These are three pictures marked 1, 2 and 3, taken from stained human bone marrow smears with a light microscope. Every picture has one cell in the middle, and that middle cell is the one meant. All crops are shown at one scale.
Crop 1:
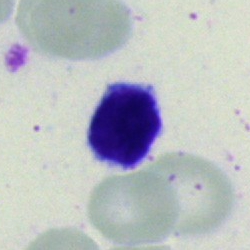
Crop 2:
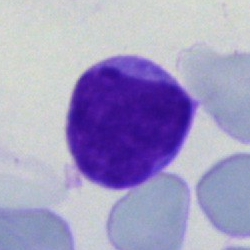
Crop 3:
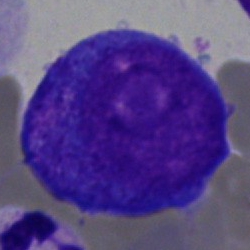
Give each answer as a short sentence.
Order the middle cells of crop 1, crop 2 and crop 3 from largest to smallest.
From the largest down, the order is 3, 2, 1.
